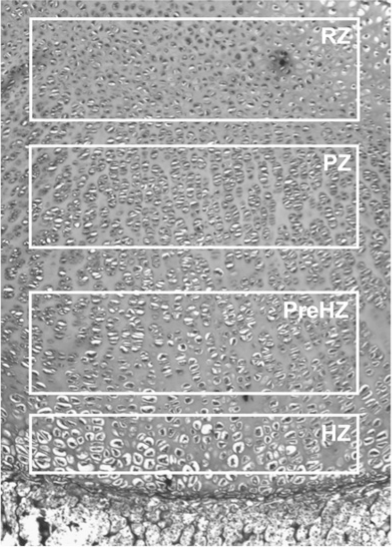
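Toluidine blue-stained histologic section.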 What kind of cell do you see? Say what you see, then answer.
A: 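Growth plate chondrocytes. Rounded cells sit singly in lacunae within a pale, homogeneous matrix. In the middle of the panel the cells are stacked in longitudinal columns. Cells near the bottom are markedly larger with clear lacunae.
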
